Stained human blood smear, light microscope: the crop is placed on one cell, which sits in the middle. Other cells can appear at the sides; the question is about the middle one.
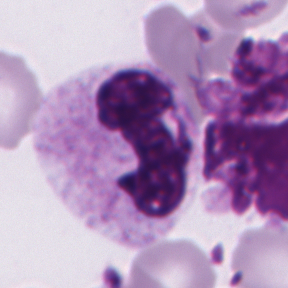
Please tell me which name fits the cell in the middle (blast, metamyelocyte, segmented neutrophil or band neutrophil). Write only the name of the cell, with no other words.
segmented neutrophil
